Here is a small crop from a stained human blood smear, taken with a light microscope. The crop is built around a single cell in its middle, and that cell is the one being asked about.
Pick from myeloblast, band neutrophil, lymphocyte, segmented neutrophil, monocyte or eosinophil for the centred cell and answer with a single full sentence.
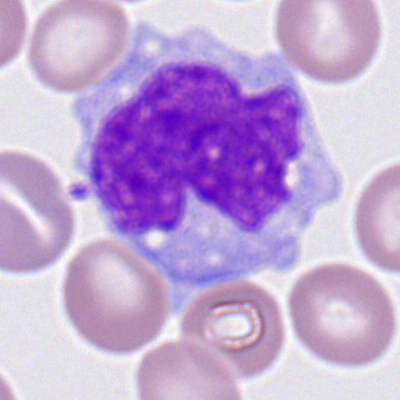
The central cell in this smear crop is a monocyte.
